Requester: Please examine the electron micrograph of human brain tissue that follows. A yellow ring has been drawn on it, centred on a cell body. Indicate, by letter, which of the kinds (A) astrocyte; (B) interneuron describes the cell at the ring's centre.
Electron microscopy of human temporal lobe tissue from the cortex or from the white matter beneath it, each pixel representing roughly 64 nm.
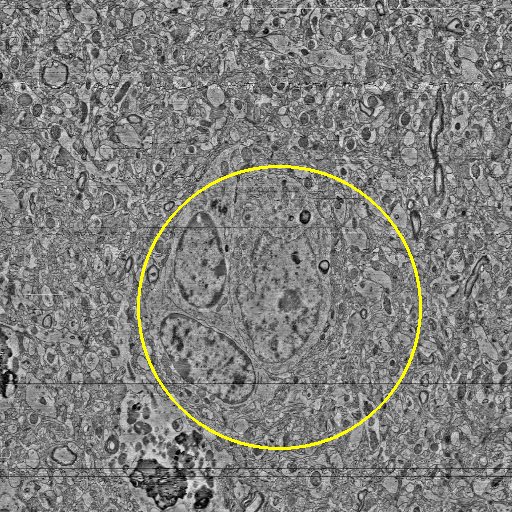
B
